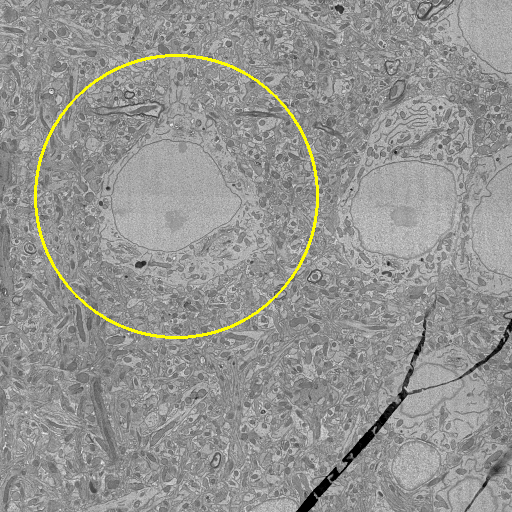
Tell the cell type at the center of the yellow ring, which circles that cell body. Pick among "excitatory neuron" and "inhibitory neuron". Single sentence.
The ring is centered on the body of an excitatory neuron.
